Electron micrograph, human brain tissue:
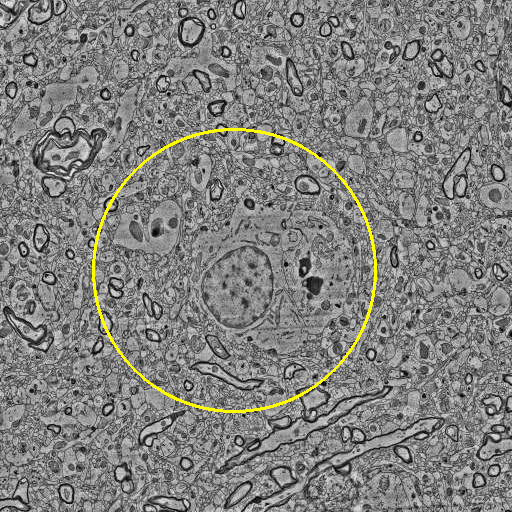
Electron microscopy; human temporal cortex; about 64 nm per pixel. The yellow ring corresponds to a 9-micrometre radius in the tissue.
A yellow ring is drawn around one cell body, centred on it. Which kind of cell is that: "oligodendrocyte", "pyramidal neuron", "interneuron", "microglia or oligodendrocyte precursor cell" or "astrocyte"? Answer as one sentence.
It is a microglial cell or oligodendrocyte precursor cell at the centre of the ring.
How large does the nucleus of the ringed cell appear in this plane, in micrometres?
The ringed cell's nucleus is about 5 micrometres across in this plane.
